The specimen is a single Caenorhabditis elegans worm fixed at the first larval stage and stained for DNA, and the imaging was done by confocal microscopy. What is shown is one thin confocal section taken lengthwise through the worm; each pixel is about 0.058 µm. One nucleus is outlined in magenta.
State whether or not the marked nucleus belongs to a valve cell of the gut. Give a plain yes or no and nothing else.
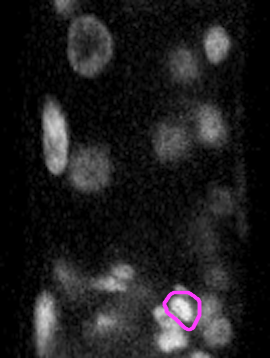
yes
